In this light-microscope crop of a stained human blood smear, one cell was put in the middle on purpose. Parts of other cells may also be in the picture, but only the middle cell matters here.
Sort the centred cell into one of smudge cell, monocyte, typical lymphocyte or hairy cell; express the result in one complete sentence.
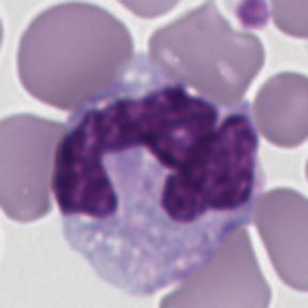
The central cell, amid any neighbouring cells, is a monocyte.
